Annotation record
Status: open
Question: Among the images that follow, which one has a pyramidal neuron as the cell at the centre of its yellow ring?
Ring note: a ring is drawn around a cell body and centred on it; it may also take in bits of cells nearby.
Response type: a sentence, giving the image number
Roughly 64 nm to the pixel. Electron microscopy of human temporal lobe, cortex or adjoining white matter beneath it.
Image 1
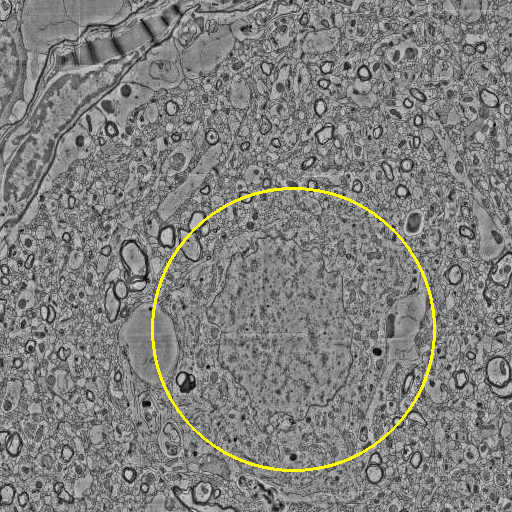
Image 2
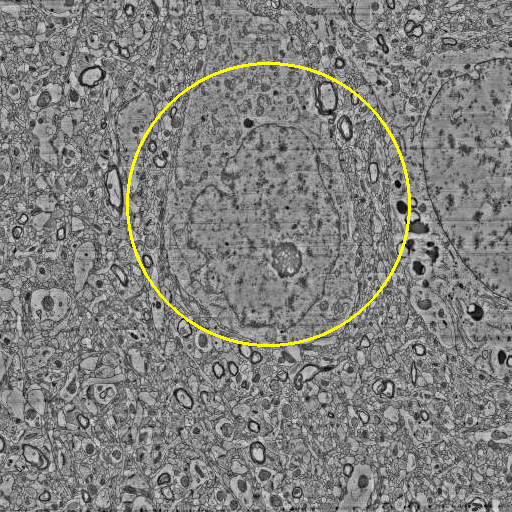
Image 1 shows it at the centre of its ring.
